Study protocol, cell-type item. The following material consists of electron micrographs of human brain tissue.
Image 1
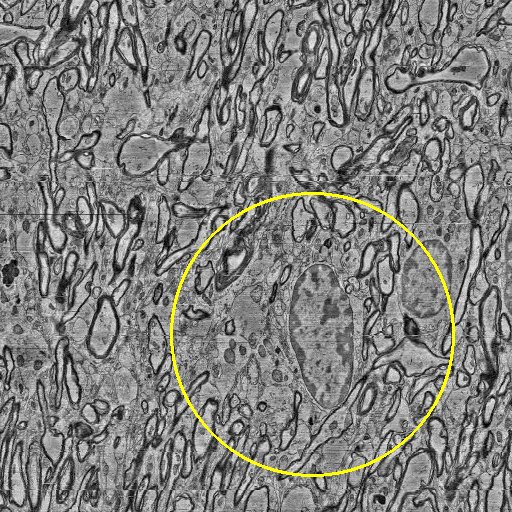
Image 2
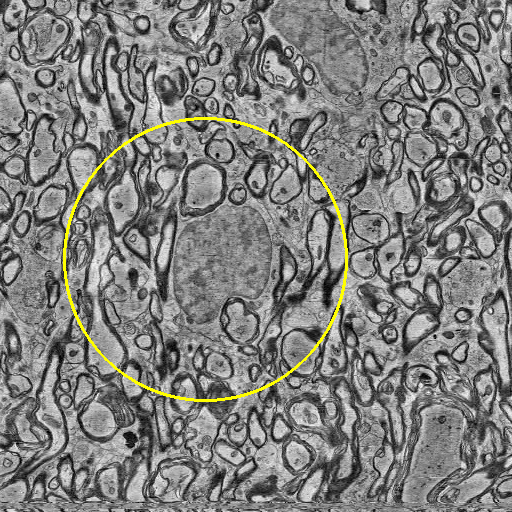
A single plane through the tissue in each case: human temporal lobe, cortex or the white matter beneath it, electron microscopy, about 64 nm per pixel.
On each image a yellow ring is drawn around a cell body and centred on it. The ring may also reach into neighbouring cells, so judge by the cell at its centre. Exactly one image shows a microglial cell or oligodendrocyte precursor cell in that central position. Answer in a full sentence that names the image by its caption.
The cell at the centre of the ring in Image 1 is of that kind.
